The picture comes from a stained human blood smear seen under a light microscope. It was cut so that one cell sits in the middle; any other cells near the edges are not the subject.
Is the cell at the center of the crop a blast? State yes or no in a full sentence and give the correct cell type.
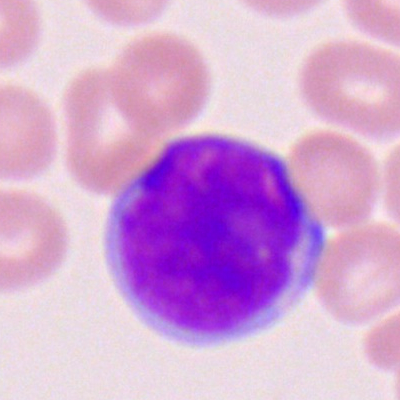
Yes, the cell located at the center is a blast.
